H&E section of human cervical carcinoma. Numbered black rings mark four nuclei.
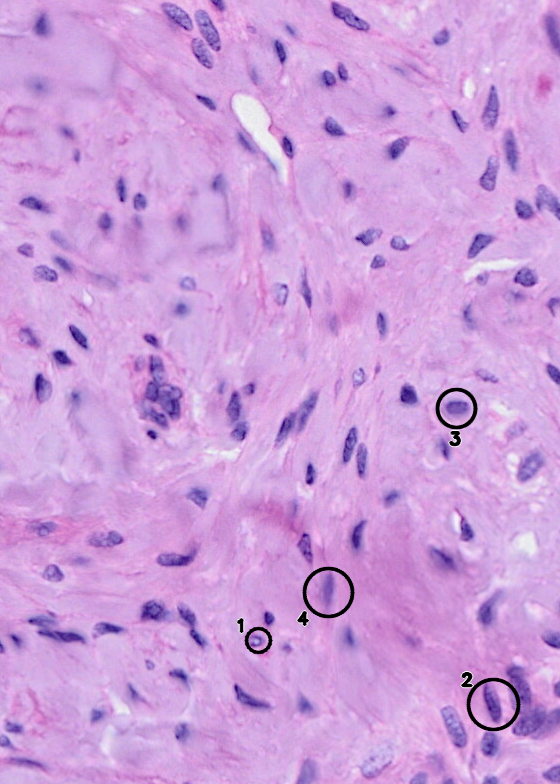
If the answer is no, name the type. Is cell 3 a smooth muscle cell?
No, it is a fibroblast.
